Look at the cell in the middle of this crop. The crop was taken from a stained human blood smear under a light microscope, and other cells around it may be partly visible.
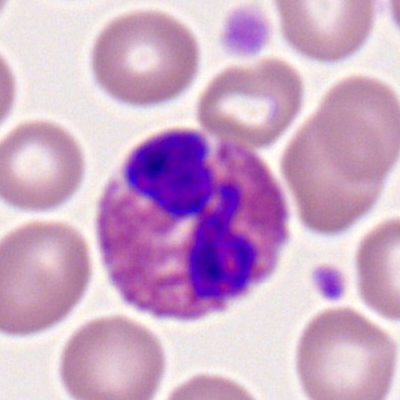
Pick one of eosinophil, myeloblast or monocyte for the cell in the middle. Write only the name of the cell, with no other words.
eosinophil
